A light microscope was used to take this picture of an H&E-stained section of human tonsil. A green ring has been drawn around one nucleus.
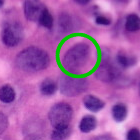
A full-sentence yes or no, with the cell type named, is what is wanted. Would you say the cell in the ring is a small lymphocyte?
No, not a small lymphocyte: the cell in the ring is a squamous epithelial cell.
